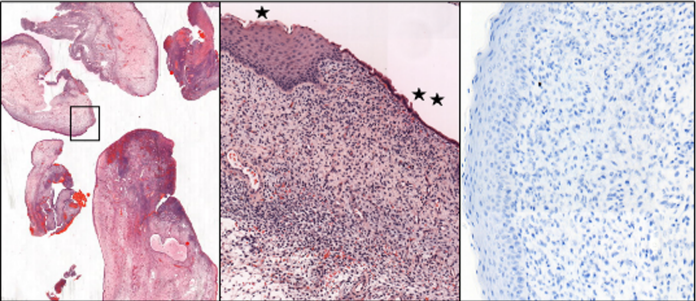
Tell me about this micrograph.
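At low magnification several irregular, pale pink fragments of polypoid tissue with loose, watery-looking stroma and red areas of blood are seen. At higher magnification the surface is covered in one place by a thick multilayered squamous epithelium and elsewhere by a thin single-layered lining, beneath which lies a dense sheet of fairly uniform, small spindled to oval cells with dark nuclei. These cells look monotonous, without obvious nuclear atypia.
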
